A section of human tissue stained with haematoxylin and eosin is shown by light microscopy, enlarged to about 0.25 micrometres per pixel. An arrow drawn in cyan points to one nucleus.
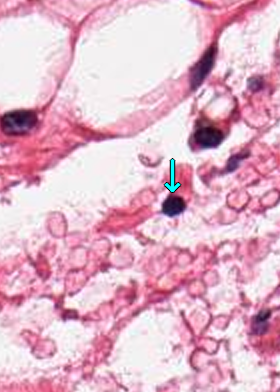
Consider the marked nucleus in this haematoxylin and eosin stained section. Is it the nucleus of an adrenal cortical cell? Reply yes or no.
no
